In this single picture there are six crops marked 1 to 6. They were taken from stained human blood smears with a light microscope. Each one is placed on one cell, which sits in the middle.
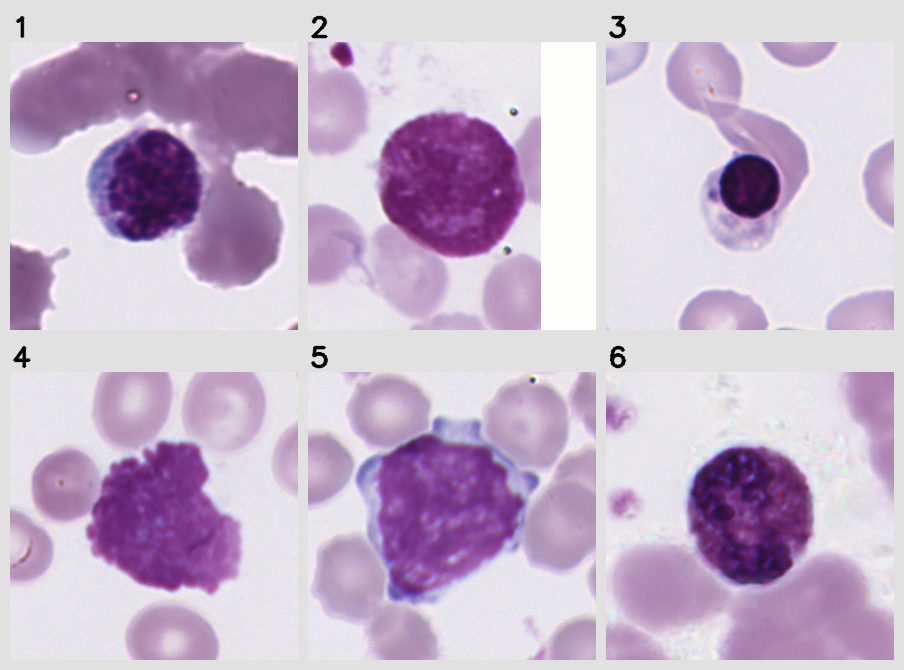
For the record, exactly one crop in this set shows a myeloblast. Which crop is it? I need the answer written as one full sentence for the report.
Crop 2 represents a myeloblast, while the other crops do not.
